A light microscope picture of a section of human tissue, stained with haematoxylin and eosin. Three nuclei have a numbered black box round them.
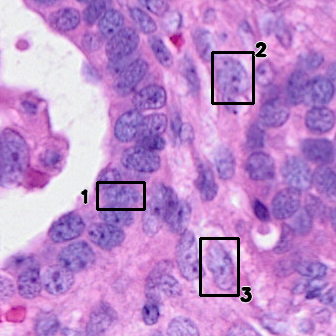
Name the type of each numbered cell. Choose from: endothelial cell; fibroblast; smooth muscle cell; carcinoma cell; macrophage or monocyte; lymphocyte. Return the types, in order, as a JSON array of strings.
["carcinoma cell", "fibroblast", "fibroblast"]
